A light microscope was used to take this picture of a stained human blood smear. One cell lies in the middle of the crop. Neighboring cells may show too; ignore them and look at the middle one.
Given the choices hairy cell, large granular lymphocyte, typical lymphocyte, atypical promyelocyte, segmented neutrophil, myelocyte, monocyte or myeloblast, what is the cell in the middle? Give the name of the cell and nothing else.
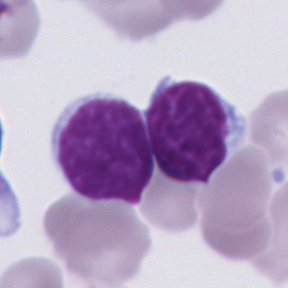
myeloblast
